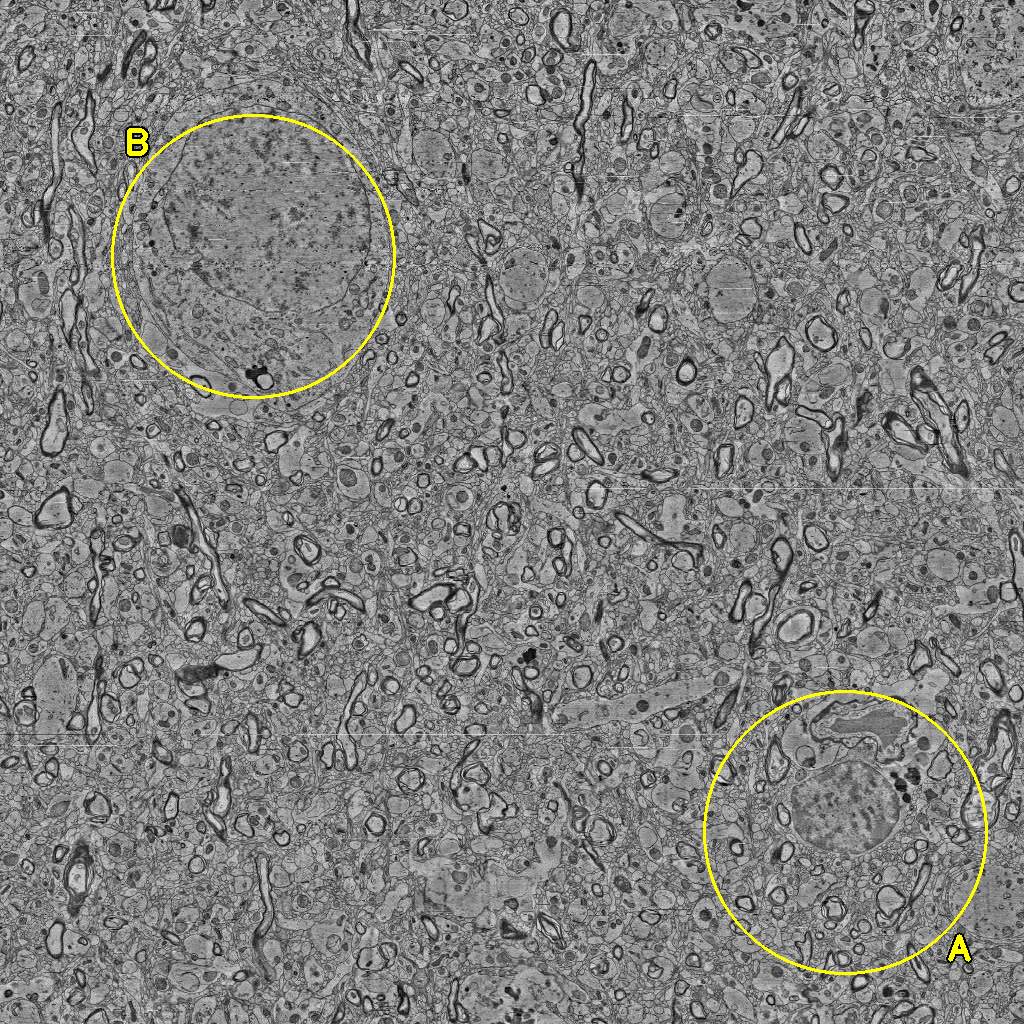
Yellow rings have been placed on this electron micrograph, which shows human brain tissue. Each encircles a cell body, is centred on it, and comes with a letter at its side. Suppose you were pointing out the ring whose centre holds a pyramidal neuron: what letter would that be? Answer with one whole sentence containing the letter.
The ring I would point to, centred on the cell in question, is B.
